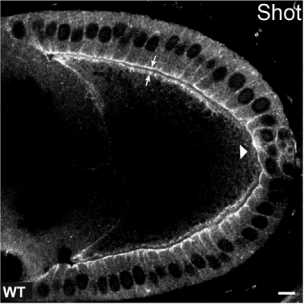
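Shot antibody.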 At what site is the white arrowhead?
Posterior.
